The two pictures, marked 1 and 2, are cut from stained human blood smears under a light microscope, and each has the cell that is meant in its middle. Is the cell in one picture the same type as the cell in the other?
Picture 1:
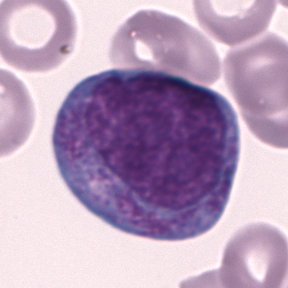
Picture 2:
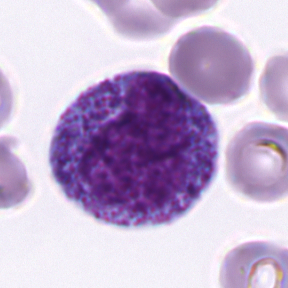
yes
